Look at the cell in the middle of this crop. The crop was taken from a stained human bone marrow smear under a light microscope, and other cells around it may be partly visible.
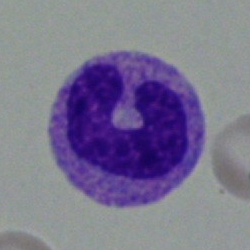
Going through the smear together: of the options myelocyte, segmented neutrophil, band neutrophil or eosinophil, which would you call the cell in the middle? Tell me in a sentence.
The center cell of this crop is a band neutrophil.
